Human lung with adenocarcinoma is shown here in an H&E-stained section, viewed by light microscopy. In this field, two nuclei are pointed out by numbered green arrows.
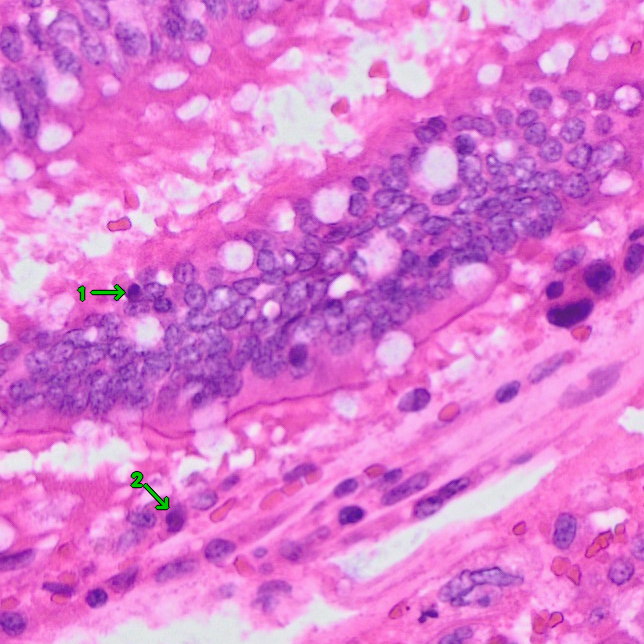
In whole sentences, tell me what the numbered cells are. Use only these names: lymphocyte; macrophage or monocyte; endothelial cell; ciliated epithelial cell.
Cell 1 is a ciliated epithelial cell. Cell 2 is a macrophage or monocyte.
